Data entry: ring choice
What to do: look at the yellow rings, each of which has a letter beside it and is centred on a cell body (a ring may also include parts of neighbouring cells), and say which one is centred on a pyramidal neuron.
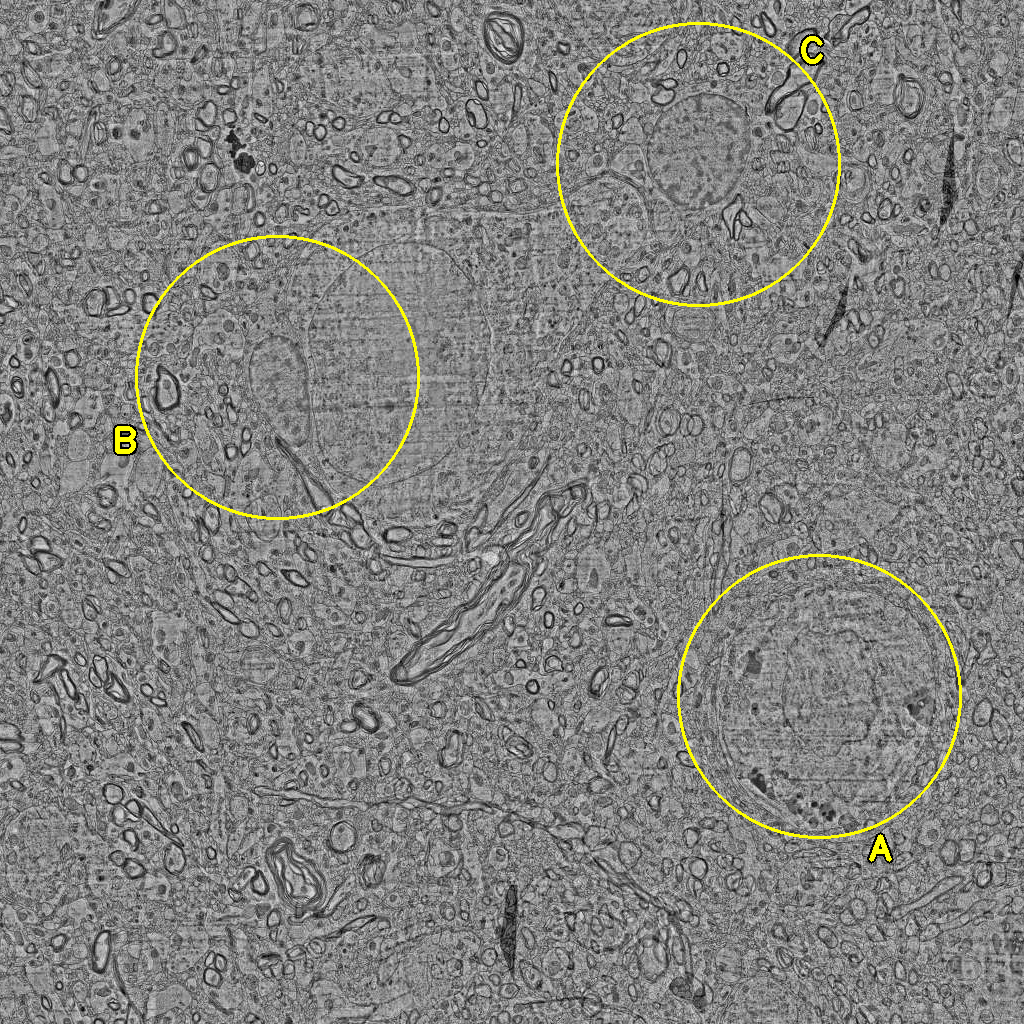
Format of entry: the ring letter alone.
A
